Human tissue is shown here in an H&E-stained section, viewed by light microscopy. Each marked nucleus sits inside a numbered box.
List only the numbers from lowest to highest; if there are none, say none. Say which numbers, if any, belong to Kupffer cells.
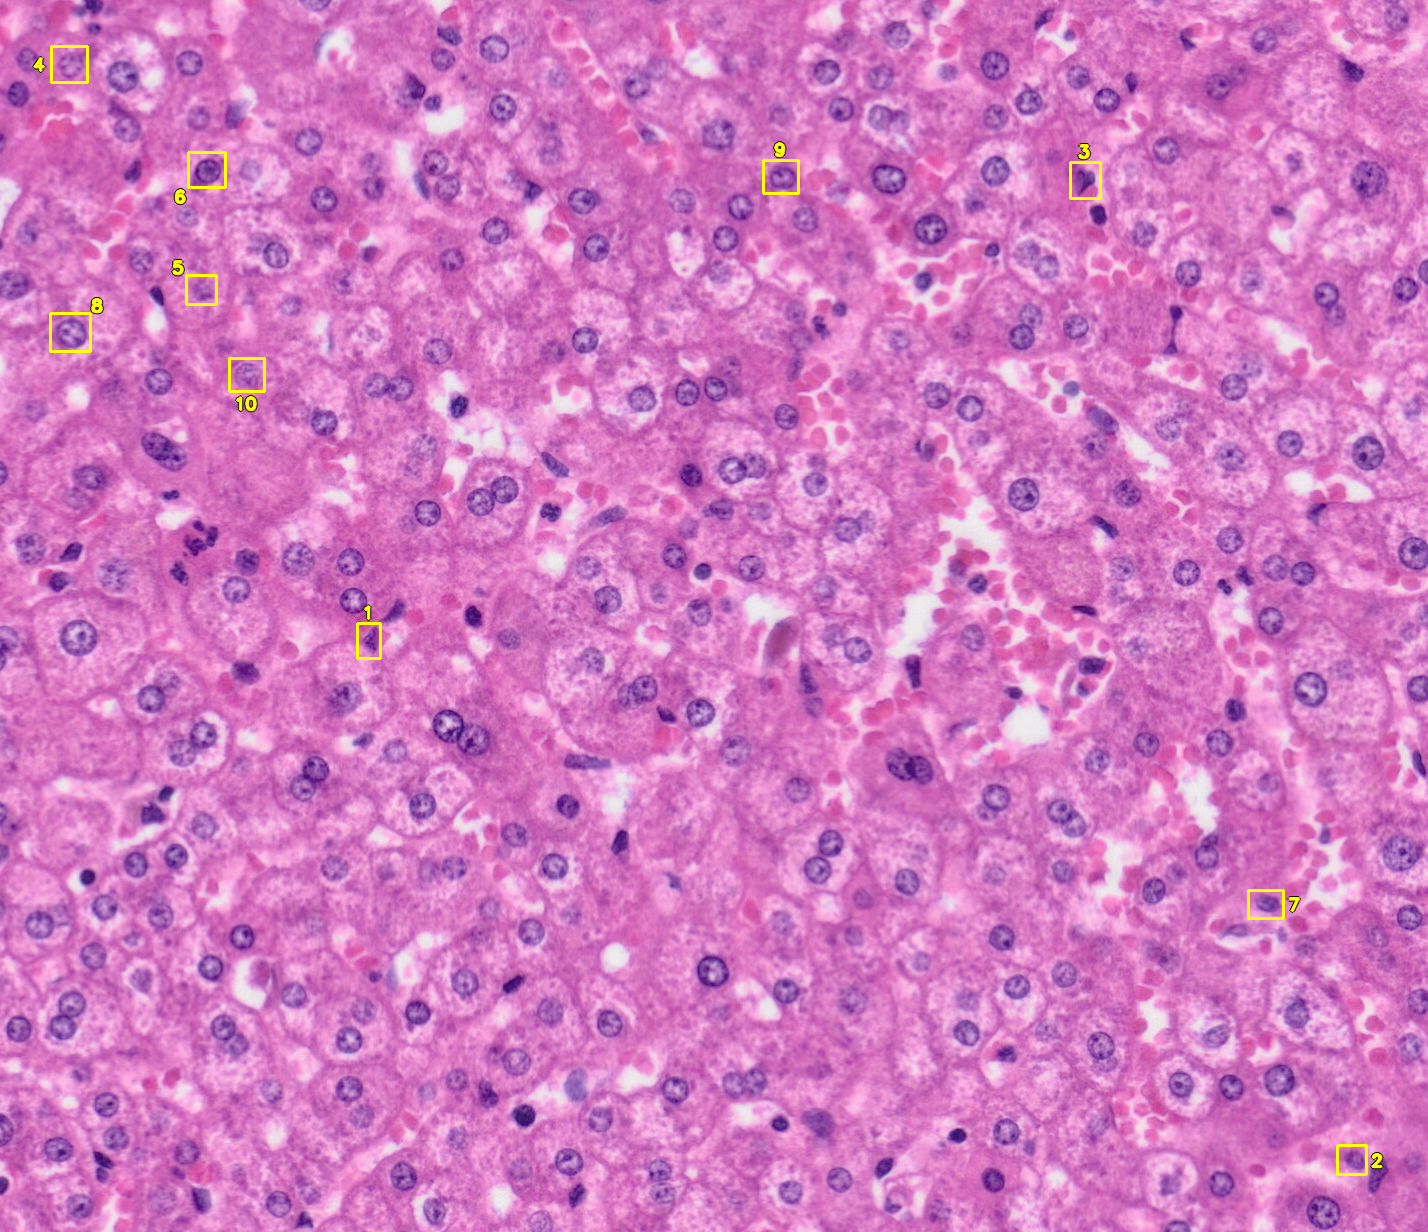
2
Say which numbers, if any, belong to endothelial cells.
1, 3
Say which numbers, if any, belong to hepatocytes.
4, 5, 6, 8, 9, 10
